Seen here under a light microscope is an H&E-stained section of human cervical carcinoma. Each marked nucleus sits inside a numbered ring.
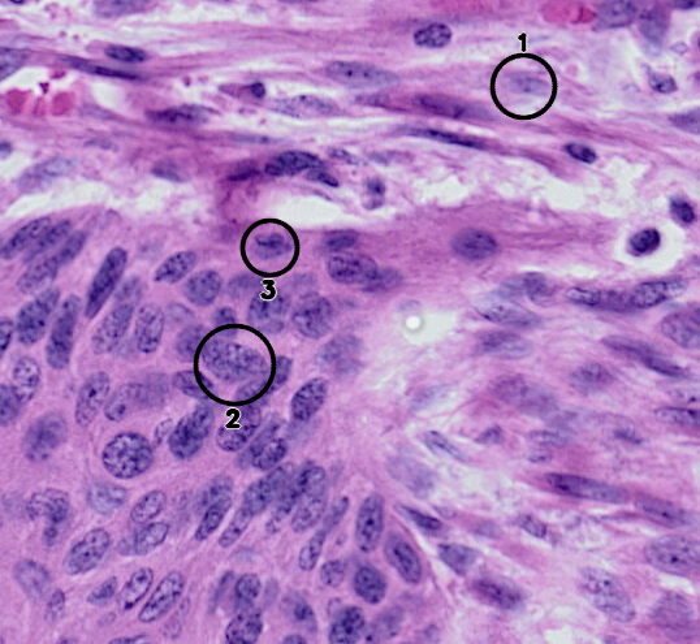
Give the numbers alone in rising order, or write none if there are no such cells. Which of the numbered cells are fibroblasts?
1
